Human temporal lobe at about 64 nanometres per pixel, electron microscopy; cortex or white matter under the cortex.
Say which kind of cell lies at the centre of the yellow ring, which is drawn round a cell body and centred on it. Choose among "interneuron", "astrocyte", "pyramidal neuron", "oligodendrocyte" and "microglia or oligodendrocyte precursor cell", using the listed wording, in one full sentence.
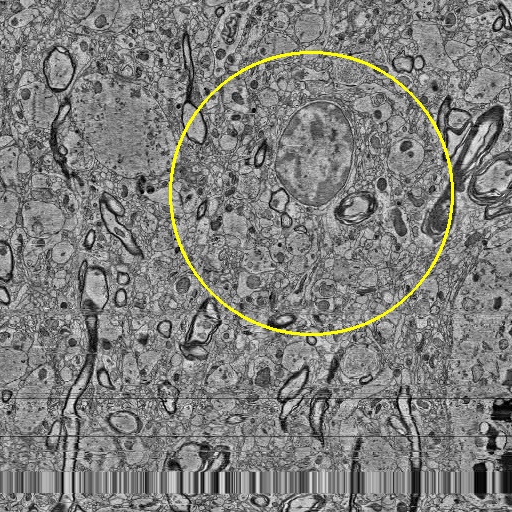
Going by the list, the cell at the yellow ring's centre is a microglial cell or oligodendrocyte precursor cell.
